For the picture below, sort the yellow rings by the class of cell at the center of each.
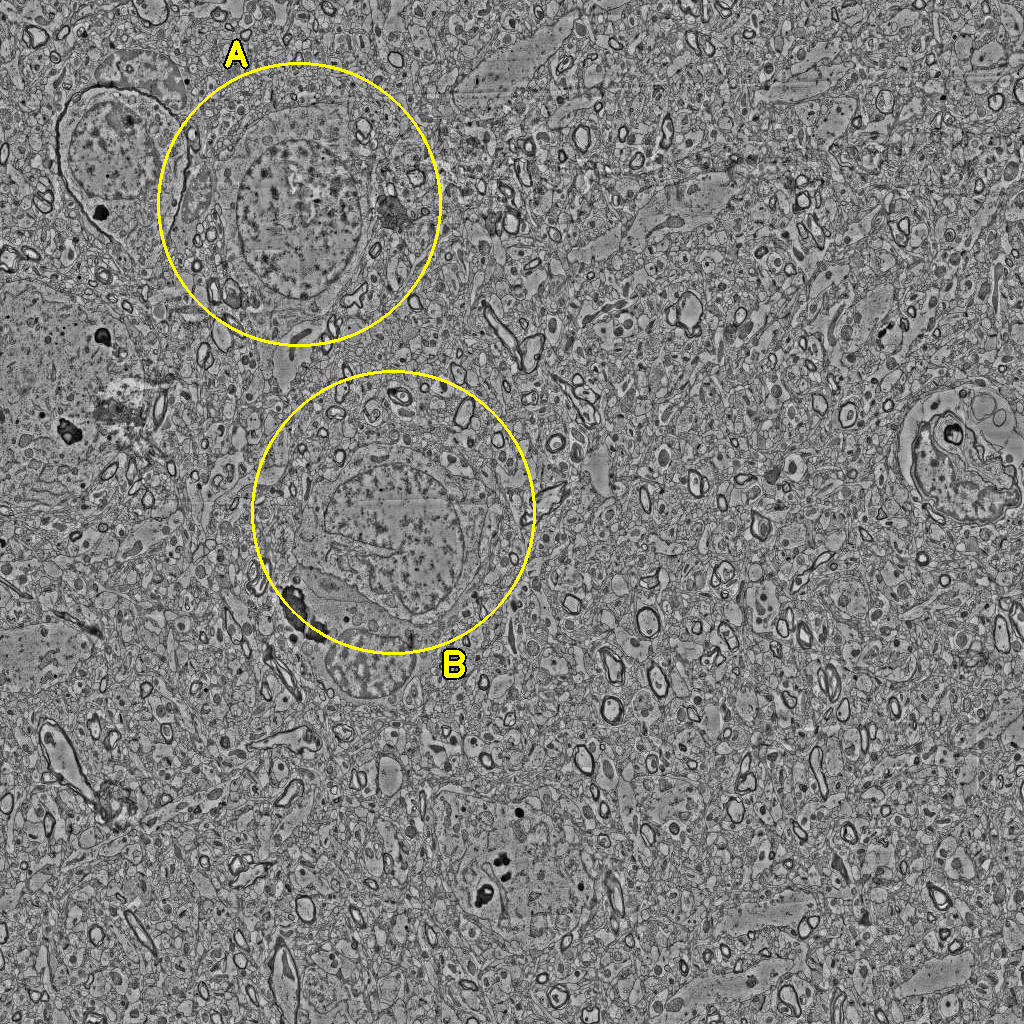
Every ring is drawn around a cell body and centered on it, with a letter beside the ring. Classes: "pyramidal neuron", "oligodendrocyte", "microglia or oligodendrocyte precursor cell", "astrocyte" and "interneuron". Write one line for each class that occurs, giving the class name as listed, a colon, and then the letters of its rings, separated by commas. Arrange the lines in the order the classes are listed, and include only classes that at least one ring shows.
pyramidal neuron: B
interneuron: A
